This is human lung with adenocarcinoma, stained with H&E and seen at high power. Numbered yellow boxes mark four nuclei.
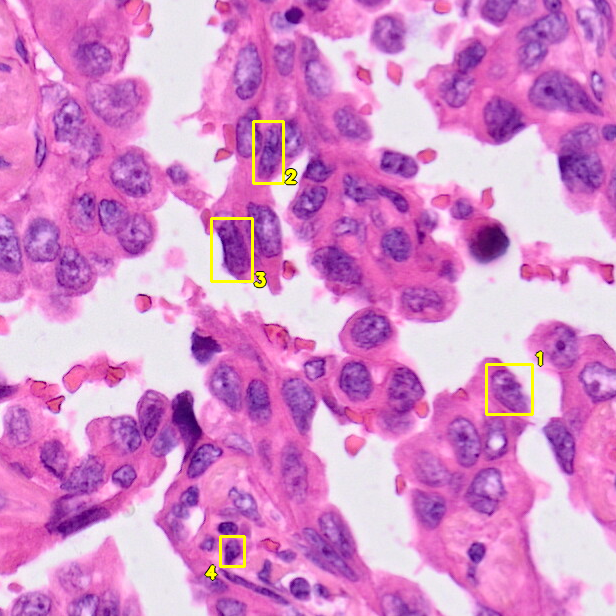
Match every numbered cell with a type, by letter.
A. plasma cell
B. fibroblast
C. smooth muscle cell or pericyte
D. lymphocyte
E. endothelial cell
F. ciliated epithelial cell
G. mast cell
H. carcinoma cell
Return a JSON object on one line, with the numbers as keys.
{"1": "H", "2": "H", "3": "H", "4": "A"}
